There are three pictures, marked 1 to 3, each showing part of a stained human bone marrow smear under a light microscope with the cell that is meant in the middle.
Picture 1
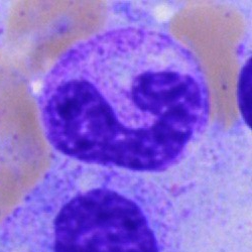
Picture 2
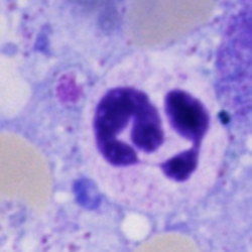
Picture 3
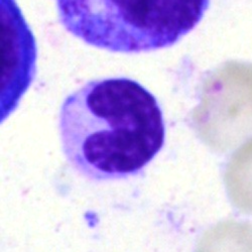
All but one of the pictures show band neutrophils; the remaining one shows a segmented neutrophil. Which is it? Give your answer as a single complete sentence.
Picture 2 is the one that shows the segmented neutrophil.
